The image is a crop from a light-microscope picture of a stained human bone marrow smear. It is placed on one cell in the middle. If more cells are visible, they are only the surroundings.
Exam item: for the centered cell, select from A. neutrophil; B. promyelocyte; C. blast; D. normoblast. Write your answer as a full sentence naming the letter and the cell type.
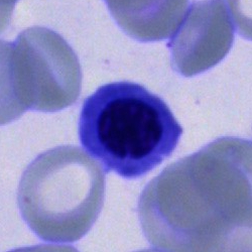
The correct option, D, names the middle cell as a normoblast.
